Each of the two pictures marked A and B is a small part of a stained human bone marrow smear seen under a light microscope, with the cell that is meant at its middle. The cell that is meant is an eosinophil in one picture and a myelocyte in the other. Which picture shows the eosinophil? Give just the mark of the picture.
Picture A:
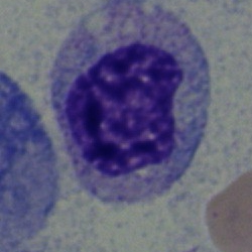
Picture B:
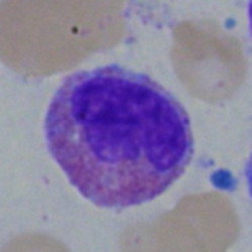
B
